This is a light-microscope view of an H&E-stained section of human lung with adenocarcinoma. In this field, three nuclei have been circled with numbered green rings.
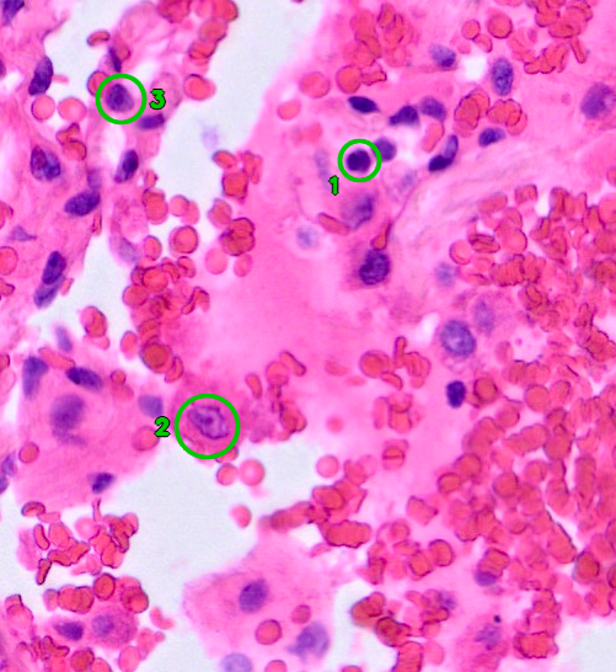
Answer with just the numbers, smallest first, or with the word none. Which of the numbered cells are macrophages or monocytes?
2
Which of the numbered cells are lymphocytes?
1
